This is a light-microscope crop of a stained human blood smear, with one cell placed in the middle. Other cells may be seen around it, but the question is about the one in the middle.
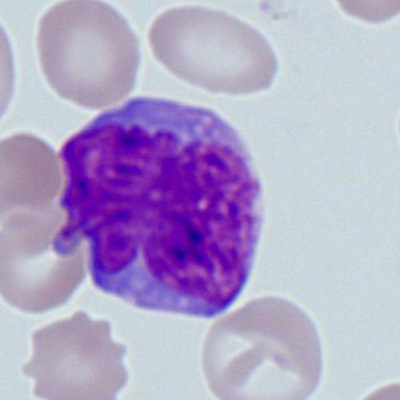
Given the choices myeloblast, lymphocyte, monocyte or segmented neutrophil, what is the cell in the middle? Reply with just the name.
myeloblast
